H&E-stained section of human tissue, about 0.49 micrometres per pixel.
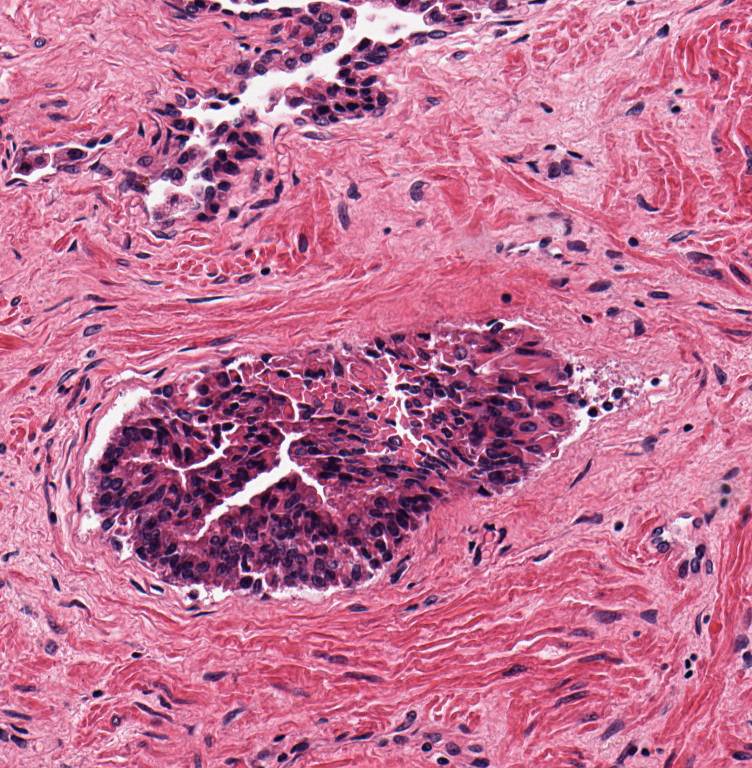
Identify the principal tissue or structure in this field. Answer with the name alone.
fibromuscular stroma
